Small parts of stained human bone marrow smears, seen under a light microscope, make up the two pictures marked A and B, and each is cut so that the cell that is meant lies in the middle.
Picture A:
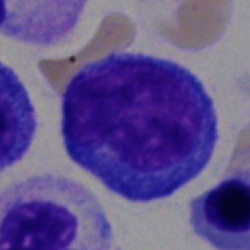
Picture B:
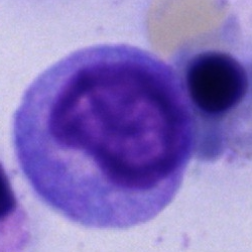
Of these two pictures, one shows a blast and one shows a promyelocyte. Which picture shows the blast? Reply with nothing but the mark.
A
